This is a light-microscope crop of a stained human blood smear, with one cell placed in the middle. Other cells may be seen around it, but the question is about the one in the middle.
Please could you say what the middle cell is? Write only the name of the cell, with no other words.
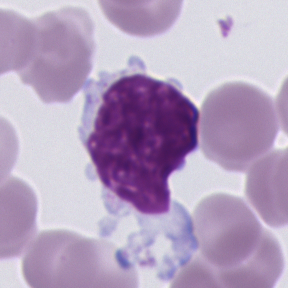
large granular lymphocyte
